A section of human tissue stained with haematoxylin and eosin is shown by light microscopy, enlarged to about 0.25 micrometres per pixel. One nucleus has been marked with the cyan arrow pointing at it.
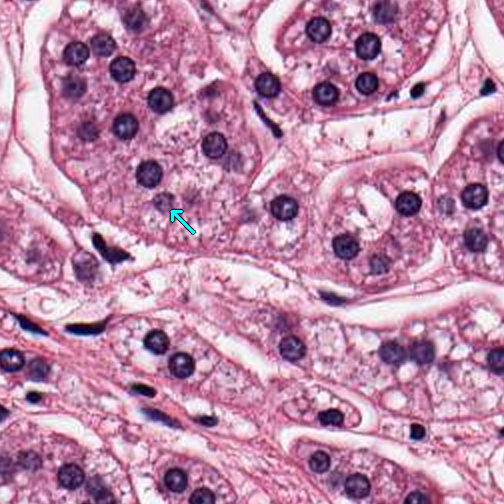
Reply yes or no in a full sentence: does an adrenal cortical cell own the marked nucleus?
Yes, the marked nucleus is found within an adrenal cortical cell.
